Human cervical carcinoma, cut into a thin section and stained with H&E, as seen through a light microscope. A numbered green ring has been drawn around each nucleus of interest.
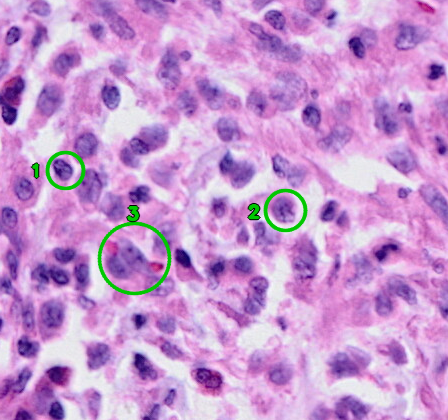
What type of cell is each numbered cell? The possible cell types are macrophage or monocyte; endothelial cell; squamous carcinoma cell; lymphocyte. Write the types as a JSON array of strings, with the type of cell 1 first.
["lymphocyte", "macrophage or monocyte", "endothelial cell"]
